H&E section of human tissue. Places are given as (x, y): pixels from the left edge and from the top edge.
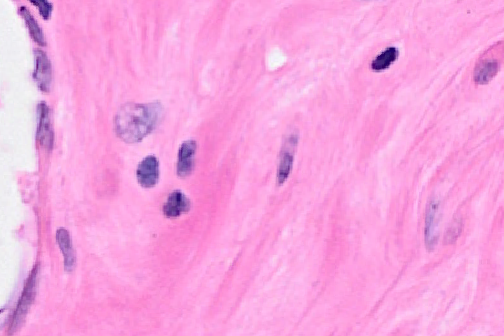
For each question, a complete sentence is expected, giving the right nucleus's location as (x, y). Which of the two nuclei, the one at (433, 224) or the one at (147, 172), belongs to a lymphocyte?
The nucleus that sits at (147, 172) is the nucleus of a lymphocyte.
